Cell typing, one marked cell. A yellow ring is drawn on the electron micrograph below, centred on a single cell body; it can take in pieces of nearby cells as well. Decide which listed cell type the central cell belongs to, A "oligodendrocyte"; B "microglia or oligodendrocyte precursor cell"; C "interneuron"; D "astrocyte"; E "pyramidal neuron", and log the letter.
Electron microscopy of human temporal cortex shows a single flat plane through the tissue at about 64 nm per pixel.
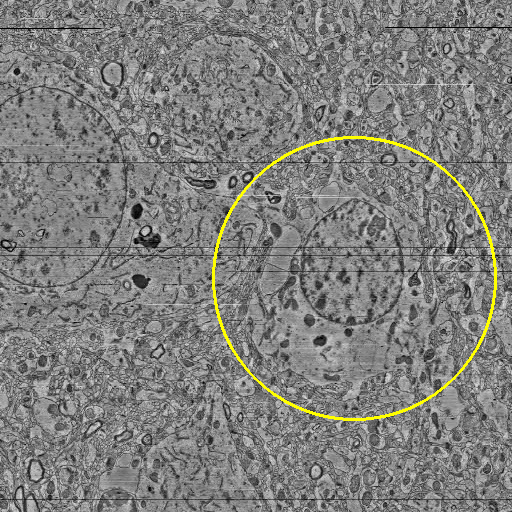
D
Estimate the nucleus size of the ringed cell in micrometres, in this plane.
About 8 by 7 micrometers, in this plane.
